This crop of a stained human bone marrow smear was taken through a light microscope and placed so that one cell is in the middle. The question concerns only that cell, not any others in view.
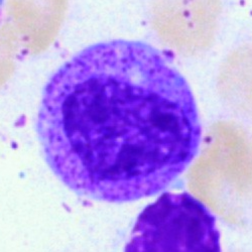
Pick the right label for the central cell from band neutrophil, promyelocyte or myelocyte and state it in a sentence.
Classified as a myelocyte is the cell in the middle of this crop.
